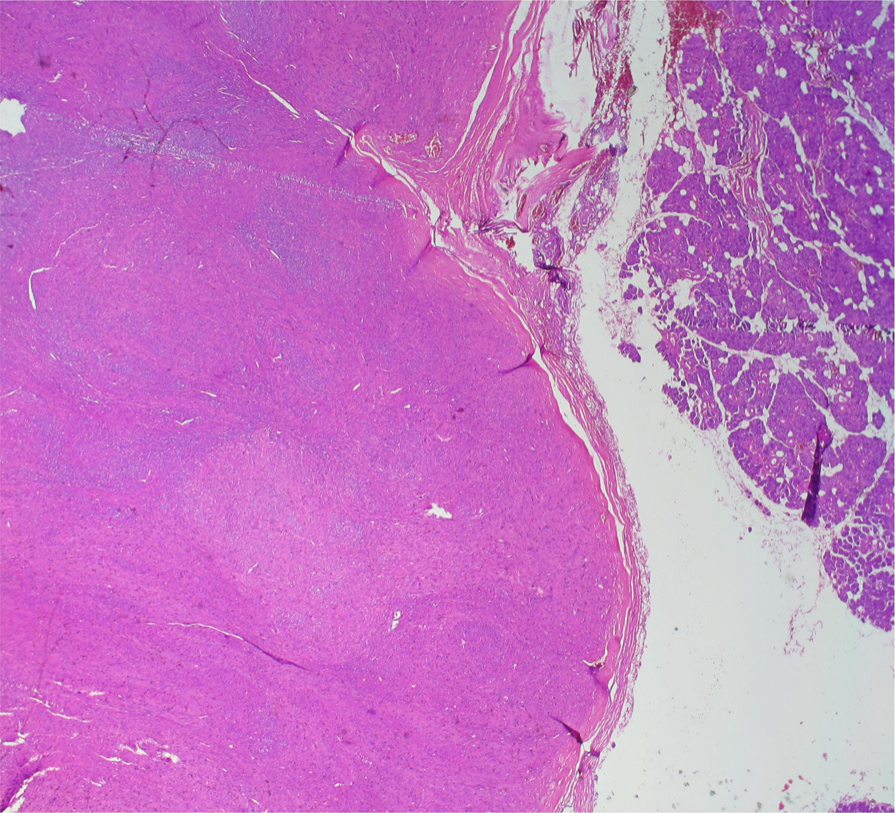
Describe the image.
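At low magnification, salivary gland tissue lies beside a large, sharply bordered mass made of spindle-shaped cells. The mass fills the left and lower part of the field and stains pink, with a fine streaming texture of elongated cells running in interlacing bundles; some areas are slightly paler or more bluish than others. Its edge is smooth and rounded, bounded by a thin band of fibrous tissue that separates it from the surroundings. Across a pale cleft on the upper right, the gland shows lobules of closely packed purple glandular units divided by thin, pale connective tissue septa, with a little blood near the top.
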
